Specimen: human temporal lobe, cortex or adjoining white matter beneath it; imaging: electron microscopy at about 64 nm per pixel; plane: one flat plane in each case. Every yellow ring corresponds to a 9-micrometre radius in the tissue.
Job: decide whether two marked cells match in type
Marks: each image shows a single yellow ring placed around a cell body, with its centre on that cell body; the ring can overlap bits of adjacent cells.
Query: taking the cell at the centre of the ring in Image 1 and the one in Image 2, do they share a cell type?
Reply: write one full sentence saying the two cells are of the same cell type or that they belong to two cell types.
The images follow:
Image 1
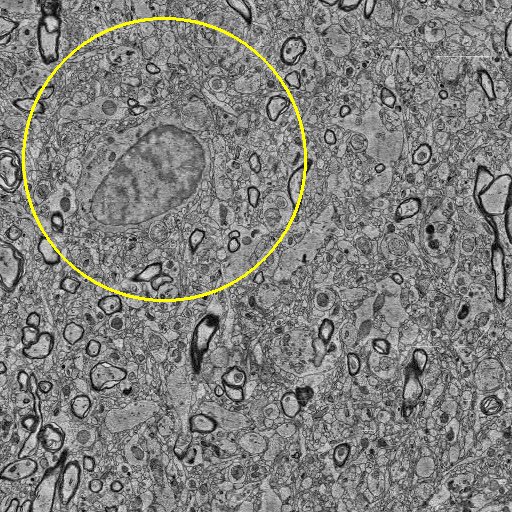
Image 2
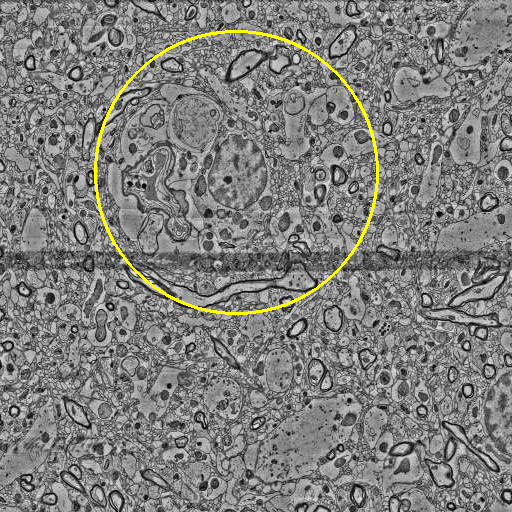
The cells at the ring centres in Image 1 and Image 2 are of the same cell type.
